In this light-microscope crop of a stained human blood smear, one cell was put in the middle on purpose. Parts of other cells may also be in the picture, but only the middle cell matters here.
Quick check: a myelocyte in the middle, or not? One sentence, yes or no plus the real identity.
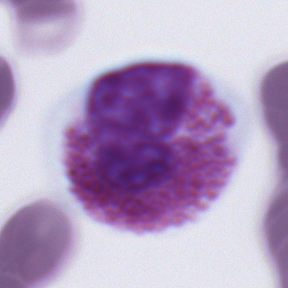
No, at the middle of the crop is an eosinophil, not a myelocyte.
